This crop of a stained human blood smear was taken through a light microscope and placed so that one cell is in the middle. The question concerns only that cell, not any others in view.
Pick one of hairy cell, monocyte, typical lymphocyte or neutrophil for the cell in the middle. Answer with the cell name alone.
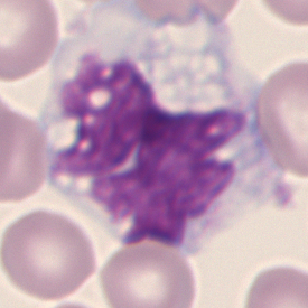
monocyte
